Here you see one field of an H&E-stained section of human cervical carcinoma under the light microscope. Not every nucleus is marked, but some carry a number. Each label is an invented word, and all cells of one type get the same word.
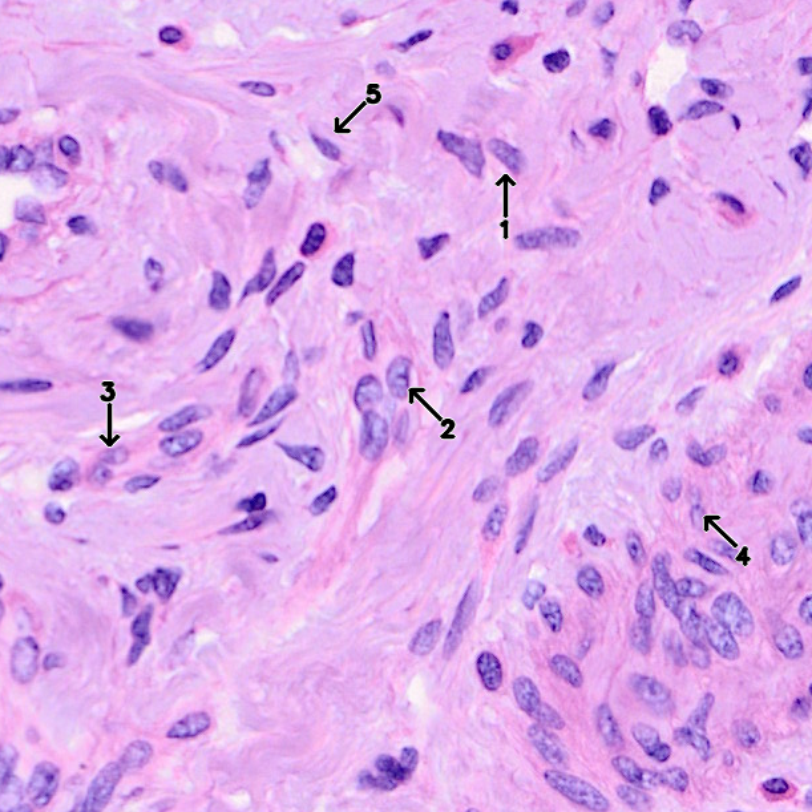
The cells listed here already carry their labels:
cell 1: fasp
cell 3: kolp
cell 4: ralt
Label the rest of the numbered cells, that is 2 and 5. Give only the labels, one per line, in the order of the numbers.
kolp
fasp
